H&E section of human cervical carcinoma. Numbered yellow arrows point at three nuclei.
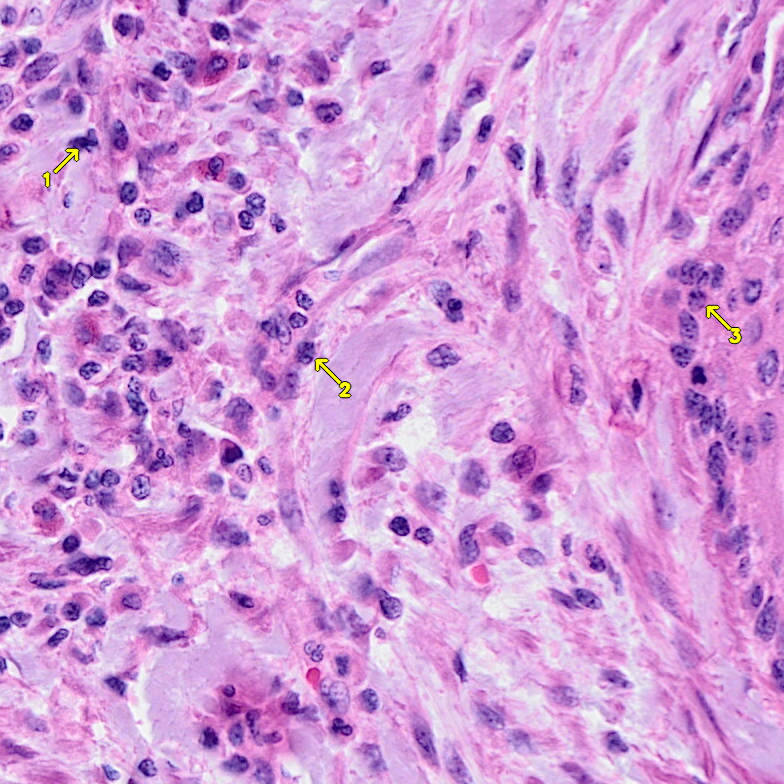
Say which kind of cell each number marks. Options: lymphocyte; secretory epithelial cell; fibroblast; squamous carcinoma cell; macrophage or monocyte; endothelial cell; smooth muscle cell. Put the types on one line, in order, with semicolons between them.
lymphocyte; lymphocyte; squamous carcinoma cell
